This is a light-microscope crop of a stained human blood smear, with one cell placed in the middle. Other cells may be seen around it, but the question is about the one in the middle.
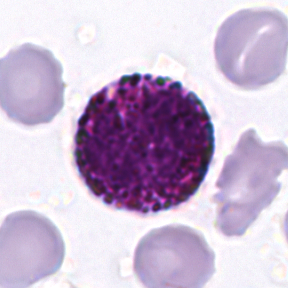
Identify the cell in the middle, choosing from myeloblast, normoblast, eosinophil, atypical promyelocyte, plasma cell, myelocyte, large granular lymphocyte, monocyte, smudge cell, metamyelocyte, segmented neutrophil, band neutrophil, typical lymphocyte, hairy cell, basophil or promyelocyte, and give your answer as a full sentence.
In the crop, the cell of interest at the centre is a basophil.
